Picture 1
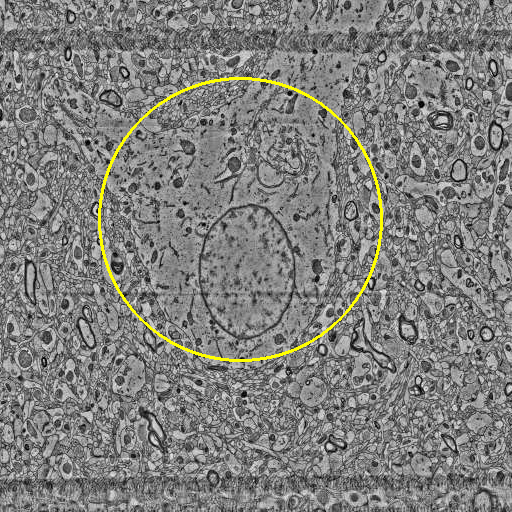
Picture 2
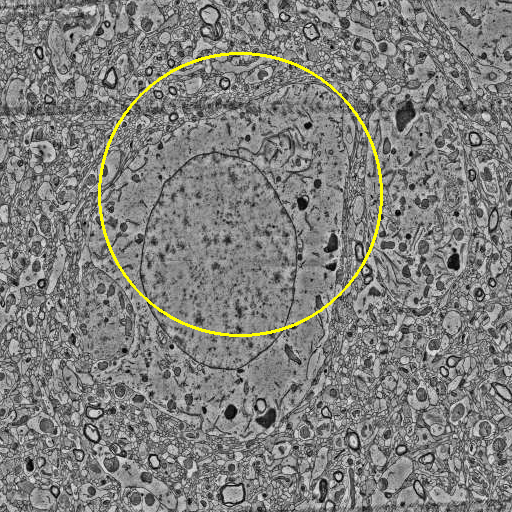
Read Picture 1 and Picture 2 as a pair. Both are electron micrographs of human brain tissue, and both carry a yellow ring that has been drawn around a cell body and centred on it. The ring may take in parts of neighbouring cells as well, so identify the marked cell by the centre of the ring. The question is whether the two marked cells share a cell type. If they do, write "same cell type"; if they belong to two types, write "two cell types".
same cell type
